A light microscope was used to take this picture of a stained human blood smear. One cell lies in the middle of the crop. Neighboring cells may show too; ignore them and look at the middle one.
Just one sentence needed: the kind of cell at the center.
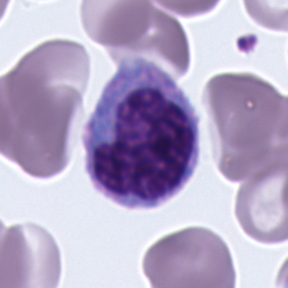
As for the cell in the middle, it is a monocyte.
